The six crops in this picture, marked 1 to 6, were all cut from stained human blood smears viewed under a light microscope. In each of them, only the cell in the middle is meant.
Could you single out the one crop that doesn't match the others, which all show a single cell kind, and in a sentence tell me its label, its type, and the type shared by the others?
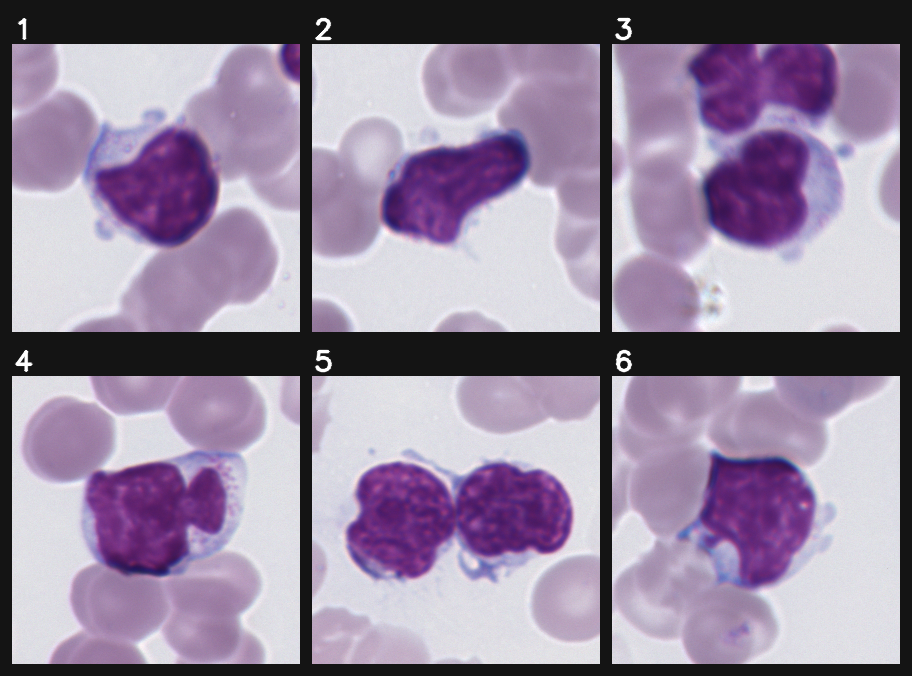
With the other crops all showing large granular lymphocytes, crop 5 differs by showing a blast.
